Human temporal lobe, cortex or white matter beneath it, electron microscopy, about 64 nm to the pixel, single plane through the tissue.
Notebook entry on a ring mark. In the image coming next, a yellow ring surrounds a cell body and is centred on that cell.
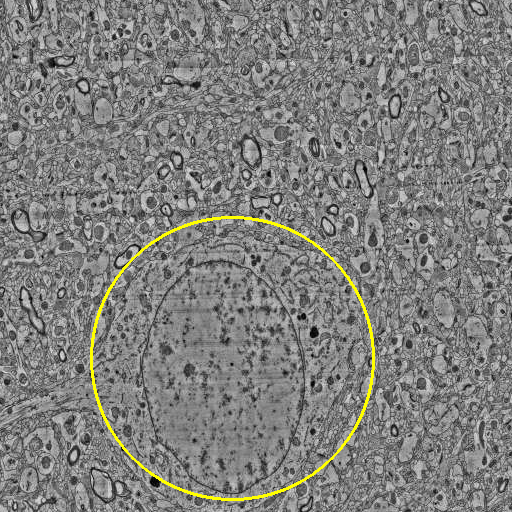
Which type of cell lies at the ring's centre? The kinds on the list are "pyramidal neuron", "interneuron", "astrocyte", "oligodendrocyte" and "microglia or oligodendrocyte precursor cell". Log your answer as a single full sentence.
Centred in the yellow ring is a pyramidal neuron, the cell recorded for this image.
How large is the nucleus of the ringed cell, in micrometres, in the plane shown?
Roughly 15 micrometres by 11 micrometres, in this plane.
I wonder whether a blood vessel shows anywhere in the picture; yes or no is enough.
No.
